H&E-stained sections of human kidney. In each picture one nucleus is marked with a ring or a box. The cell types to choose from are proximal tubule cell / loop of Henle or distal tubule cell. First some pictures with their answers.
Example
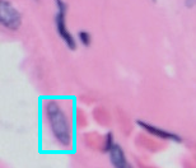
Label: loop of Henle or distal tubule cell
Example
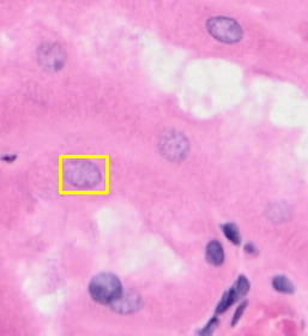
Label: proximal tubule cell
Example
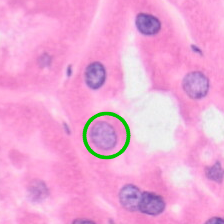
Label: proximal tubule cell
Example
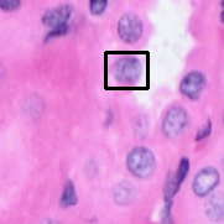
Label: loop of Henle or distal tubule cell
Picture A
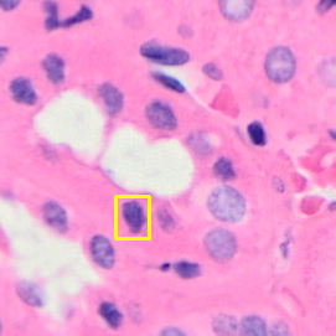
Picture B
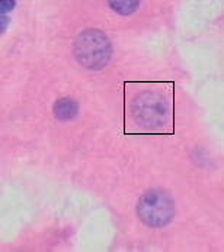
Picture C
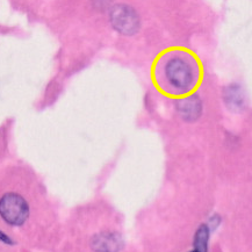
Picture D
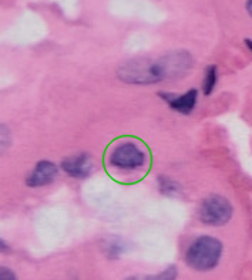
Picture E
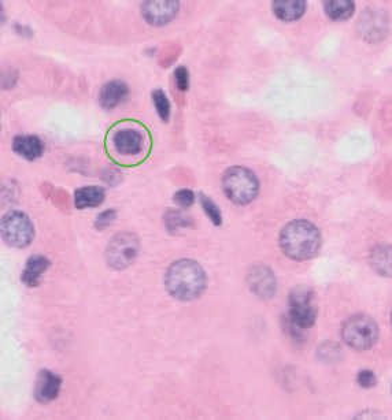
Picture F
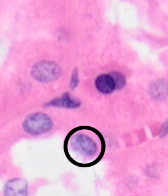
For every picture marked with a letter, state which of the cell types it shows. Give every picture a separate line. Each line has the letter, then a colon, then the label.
A: loop of Henle or distal tubule cell
B: proximal tubule cell
C: proximal tubule cell
D: loop of Henle or distal tubule cell
E: loop of Henle or distal tubule cell
F: loop of Henle or distal tubule cell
